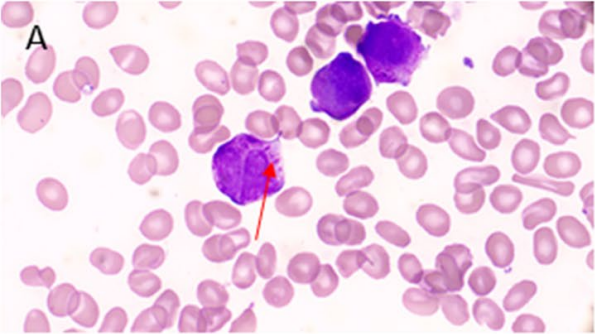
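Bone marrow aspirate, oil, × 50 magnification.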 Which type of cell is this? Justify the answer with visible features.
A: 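Blasts. Three nucleated cells much larger than the surrounding red cells. Each has a large purple nucleus with a thin rim of bluish cytoplasm.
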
